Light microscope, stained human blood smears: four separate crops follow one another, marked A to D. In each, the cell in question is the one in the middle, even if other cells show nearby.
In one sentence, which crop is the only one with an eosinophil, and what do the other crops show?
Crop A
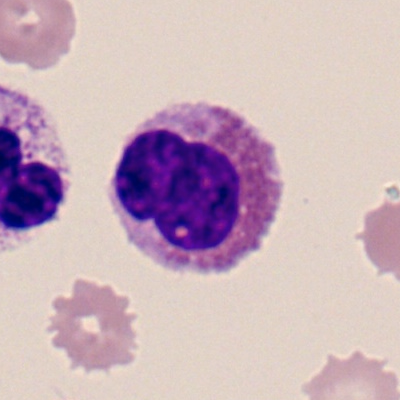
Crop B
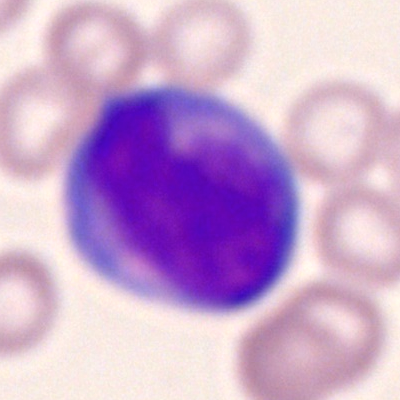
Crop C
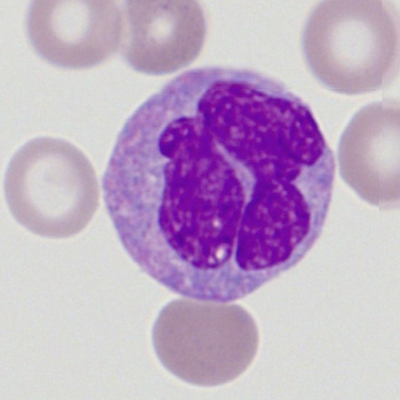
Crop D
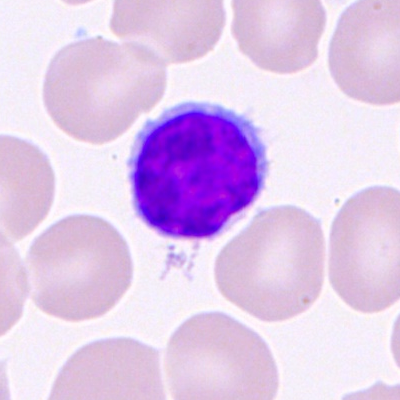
On inspection, crop A shows an eosinophil, while crop B is a blast, crop C is a monocyte and crop D is a lymphocyte.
